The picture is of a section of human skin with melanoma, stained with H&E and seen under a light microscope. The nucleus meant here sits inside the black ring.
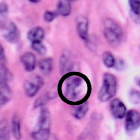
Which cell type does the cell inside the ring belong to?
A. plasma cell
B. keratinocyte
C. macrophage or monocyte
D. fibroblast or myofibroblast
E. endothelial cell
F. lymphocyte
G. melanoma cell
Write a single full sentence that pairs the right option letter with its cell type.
Among the choices, option E is correct, the cell inside the ring being an endothelial cell.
